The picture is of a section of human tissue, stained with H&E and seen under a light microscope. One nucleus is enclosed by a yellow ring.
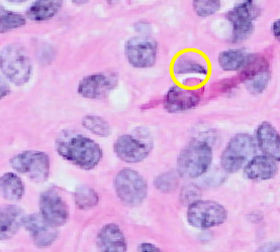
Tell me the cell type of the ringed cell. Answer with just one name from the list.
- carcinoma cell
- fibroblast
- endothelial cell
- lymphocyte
endothelial cell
